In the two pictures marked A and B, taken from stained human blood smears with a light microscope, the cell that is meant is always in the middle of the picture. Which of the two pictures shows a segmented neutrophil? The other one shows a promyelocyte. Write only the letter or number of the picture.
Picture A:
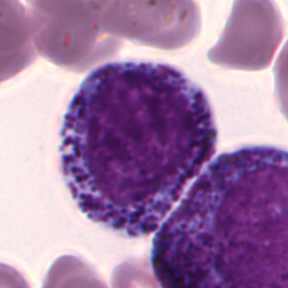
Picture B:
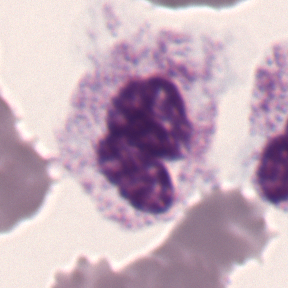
B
